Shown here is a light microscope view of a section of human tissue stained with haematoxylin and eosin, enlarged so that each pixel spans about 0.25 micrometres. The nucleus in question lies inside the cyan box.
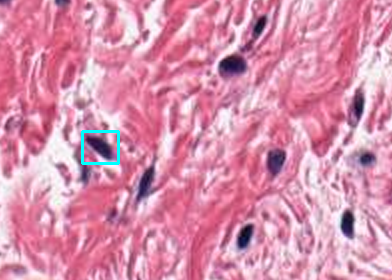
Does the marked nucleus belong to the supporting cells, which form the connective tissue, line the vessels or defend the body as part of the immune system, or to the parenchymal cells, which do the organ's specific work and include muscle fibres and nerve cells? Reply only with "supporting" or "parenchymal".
supporting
